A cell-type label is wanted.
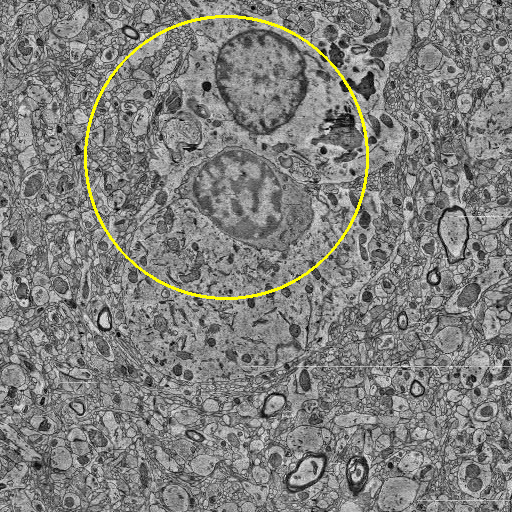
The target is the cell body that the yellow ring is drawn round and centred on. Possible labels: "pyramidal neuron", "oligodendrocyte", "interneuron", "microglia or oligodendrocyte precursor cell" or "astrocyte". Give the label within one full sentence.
Of the labels offered, the cell in the middle of the yellow ring is an oligodendrocyte.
